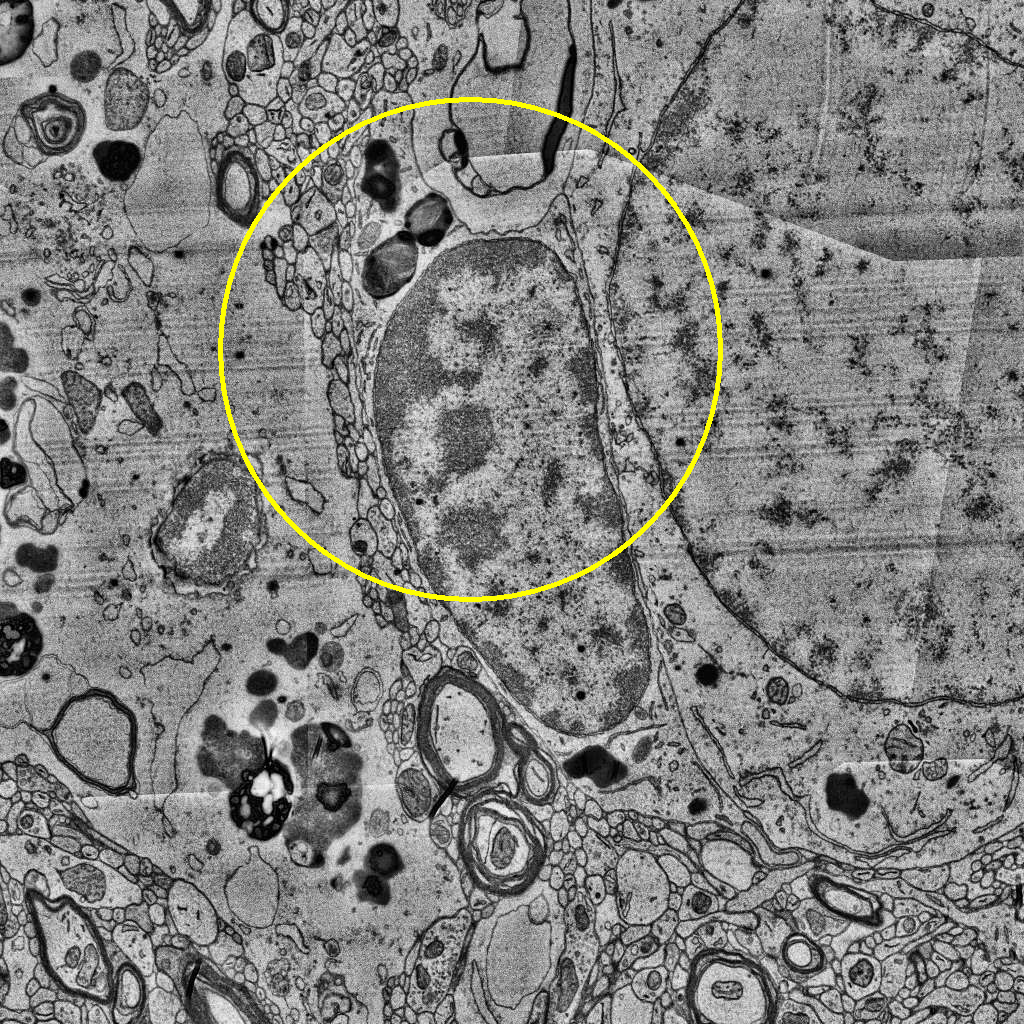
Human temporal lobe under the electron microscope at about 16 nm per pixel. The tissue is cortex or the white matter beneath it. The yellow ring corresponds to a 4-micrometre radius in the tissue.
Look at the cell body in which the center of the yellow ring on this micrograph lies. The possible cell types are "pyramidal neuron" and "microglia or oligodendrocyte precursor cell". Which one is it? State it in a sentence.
The cell at the middle of the ring is a microglial cell or oligodendrocyte precursor cell.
